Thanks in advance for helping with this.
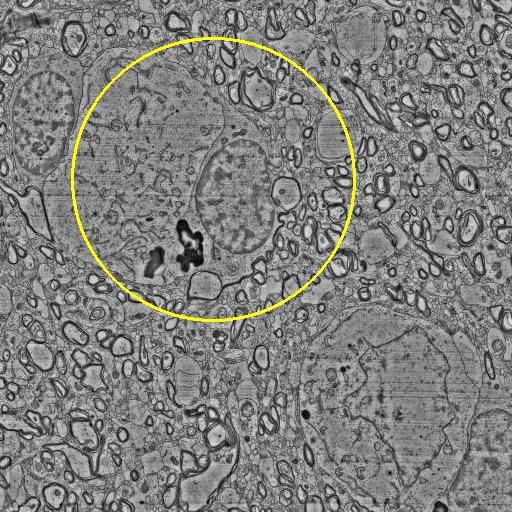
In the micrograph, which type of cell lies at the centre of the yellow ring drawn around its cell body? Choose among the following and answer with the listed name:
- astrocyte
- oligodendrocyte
oligodendrocyte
